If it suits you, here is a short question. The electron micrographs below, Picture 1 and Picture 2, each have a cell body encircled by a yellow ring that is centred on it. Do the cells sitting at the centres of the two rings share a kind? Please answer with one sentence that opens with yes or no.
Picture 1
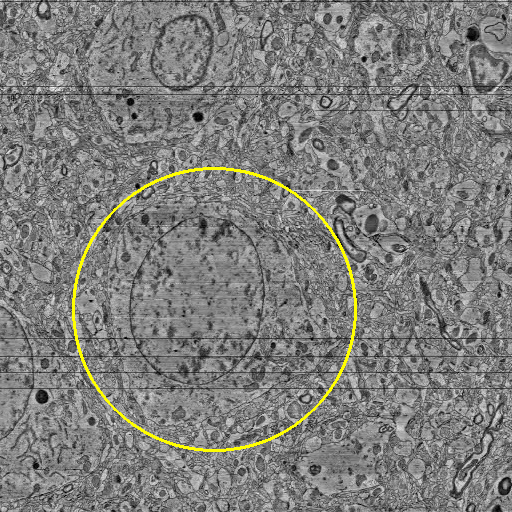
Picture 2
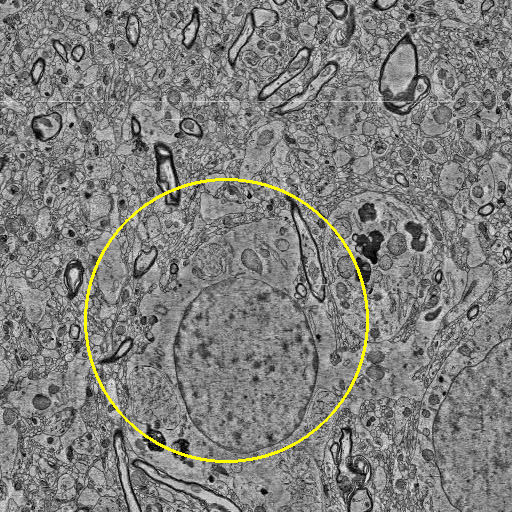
No, the two cells sitting at the ring centres fall into two kinds.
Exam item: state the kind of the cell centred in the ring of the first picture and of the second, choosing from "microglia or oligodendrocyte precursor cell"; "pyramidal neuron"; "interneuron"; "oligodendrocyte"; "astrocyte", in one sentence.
The first picture shows a pyramidal neuron at the ring centre and the second shows an astrocyte.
